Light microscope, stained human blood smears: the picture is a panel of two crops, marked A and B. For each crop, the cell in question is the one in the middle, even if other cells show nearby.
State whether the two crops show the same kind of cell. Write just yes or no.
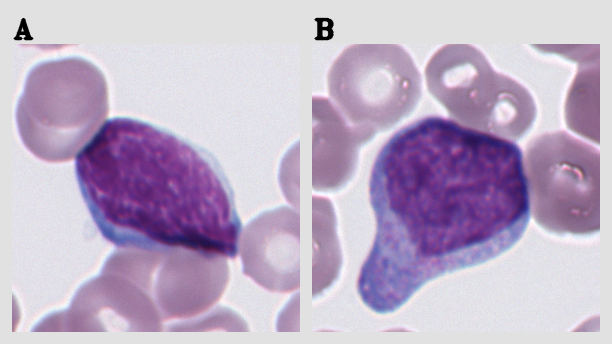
no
